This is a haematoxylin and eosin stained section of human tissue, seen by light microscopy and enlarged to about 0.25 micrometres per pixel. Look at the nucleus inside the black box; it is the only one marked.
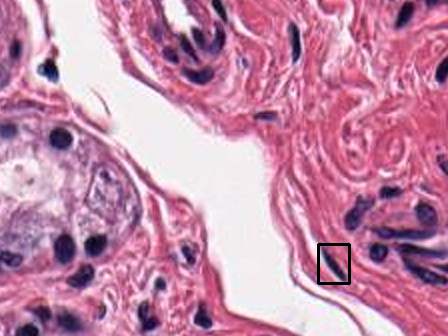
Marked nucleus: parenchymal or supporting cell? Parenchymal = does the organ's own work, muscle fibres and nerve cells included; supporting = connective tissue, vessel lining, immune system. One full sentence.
A supporting cell is the cell whose nucleus is marked.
